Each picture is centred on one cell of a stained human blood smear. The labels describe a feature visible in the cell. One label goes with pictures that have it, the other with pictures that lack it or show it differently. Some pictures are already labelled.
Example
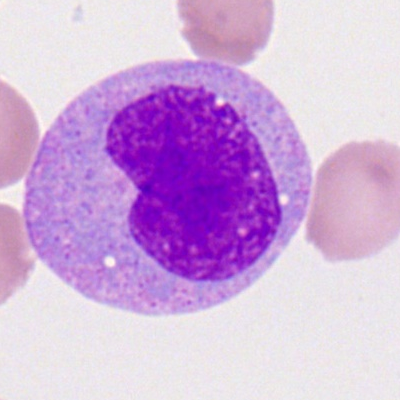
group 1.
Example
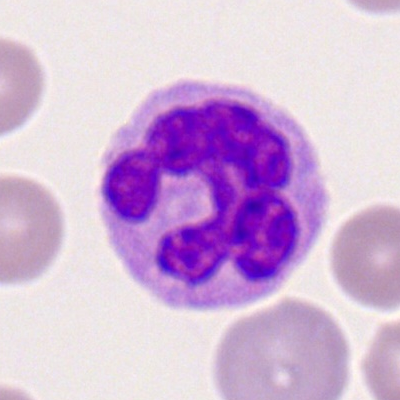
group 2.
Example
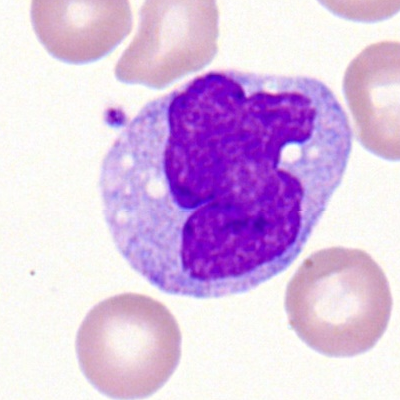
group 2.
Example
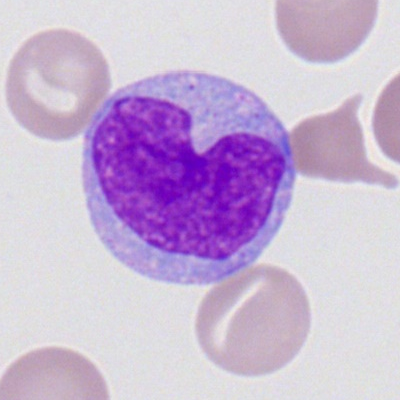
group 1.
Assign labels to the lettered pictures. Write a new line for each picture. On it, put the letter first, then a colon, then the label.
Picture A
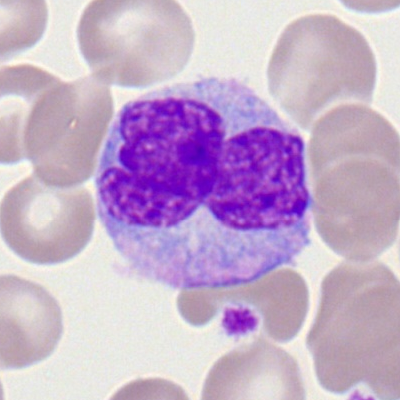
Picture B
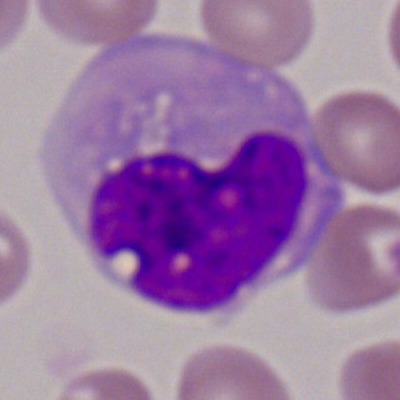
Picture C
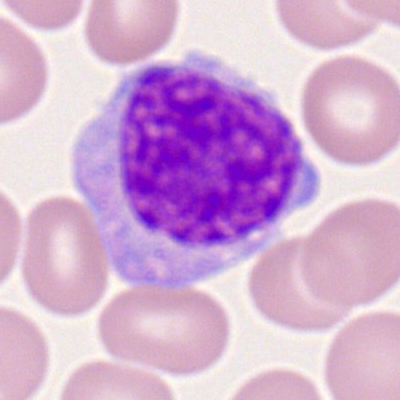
A: group 2.
B: group 1.
C: group 1.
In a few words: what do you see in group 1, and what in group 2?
In group 1: single compact nucleus. In group 2: lobed nucleus.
